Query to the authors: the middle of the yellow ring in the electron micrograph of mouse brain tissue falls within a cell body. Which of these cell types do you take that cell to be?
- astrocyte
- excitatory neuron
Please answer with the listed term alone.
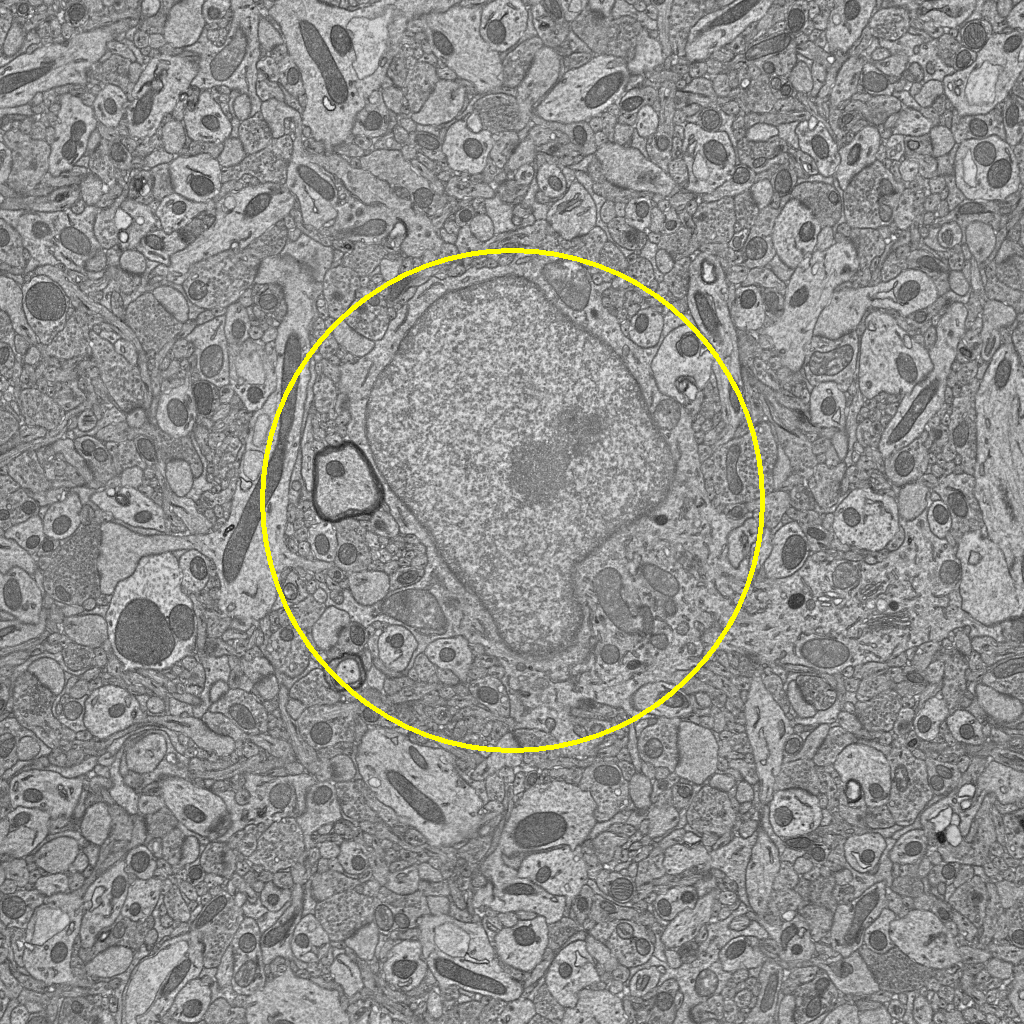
astrocyte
